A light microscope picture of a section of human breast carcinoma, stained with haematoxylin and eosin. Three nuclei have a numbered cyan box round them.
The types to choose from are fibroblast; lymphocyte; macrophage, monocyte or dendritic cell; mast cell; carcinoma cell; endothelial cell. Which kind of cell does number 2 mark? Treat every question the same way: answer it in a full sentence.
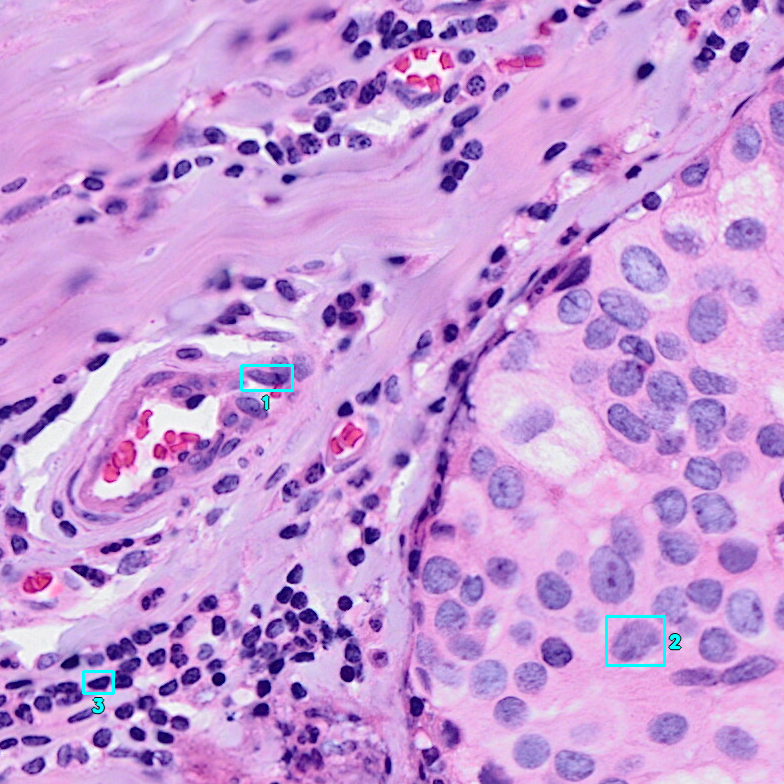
The cell numbered 2 has been identified as a carcinoma cell.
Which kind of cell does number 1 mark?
The correct answer for cell 1 is an endothelial cell.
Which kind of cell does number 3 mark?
To a lymphocyte belongs the nucleus marked 3.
